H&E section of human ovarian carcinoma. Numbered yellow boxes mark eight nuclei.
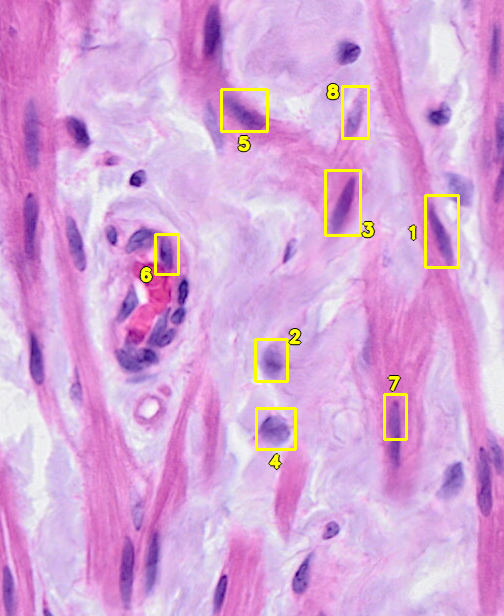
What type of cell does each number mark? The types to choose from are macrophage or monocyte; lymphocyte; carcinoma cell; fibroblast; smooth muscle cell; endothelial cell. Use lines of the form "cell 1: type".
cell 1: smooth muscle cell
cell 2: fibroblast
cell 3: smooth muscle cell
cell 4: fibroblast
cell 5: smooth muscle cell
cell 6: endothelial cell
cell 7: smooth muscle cell
cell 8: smooth muscle cell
